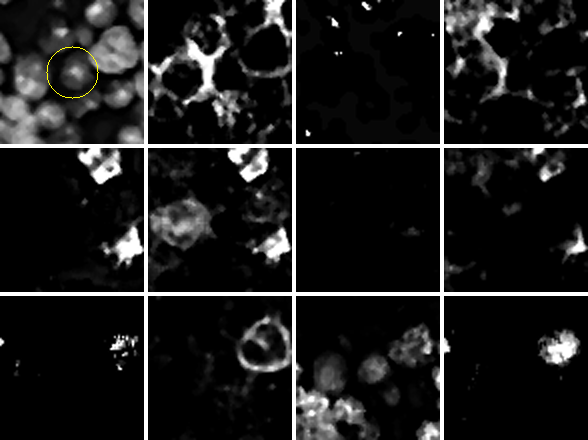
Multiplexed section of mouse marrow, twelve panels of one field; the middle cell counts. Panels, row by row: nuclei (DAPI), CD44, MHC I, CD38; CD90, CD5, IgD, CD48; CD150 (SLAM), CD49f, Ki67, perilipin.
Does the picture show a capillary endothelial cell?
Yes.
